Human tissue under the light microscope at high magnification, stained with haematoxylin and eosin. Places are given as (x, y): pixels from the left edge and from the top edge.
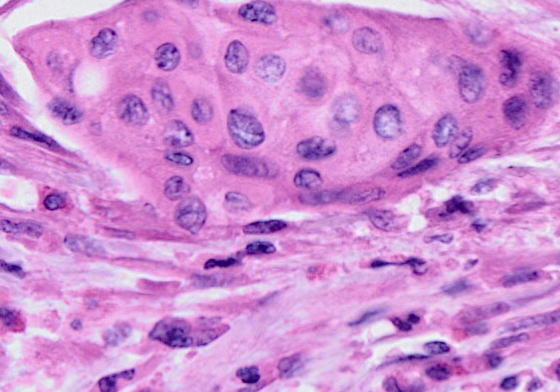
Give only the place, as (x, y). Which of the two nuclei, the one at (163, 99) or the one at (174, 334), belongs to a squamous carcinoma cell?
(163, 99)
